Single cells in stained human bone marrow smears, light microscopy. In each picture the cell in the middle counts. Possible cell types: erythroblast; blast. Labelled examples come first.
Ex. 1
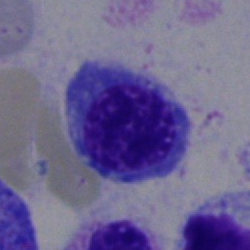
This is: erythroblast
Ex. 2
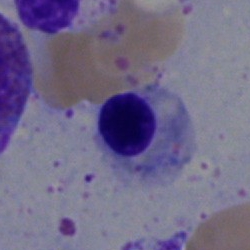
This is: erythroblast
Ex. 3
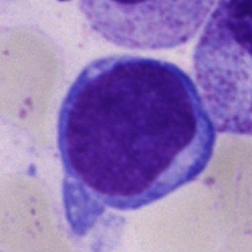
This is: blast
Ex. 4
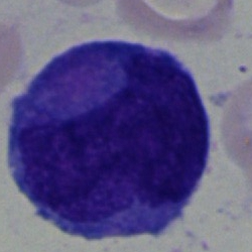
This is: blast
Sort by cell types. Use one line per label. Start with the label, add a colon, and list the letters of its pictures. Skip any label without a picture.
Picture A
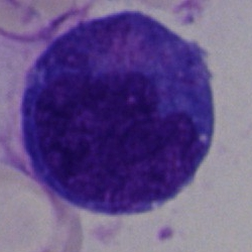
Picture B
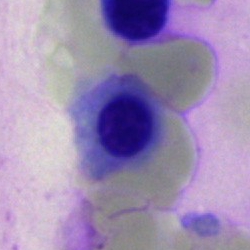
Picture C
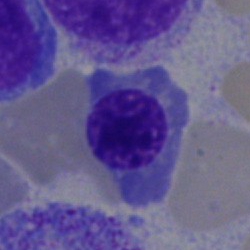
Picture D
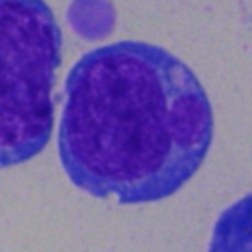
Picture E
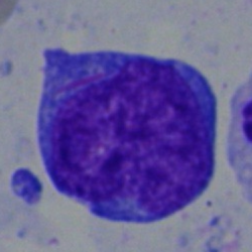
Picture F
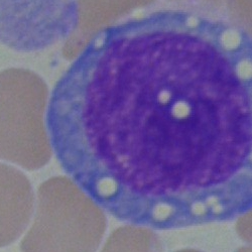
erythroblast: B, C
blast: A, D, E, F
